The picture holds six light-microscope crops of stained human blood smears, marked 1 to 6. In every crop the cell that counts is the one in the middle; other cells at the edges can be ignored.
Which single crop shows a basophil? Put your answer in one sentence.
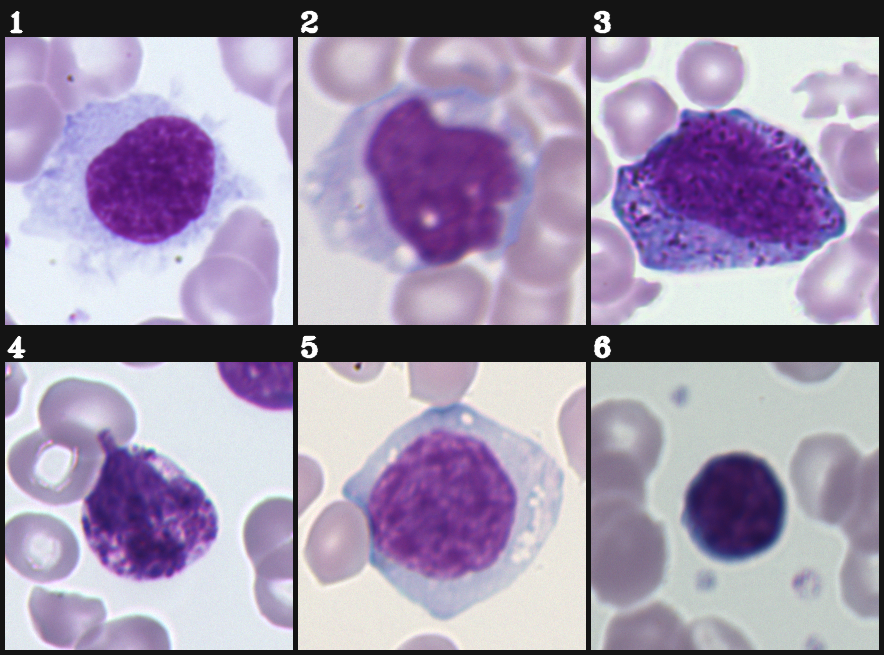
Crop 4 is the one to choose: it shows a basophil.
